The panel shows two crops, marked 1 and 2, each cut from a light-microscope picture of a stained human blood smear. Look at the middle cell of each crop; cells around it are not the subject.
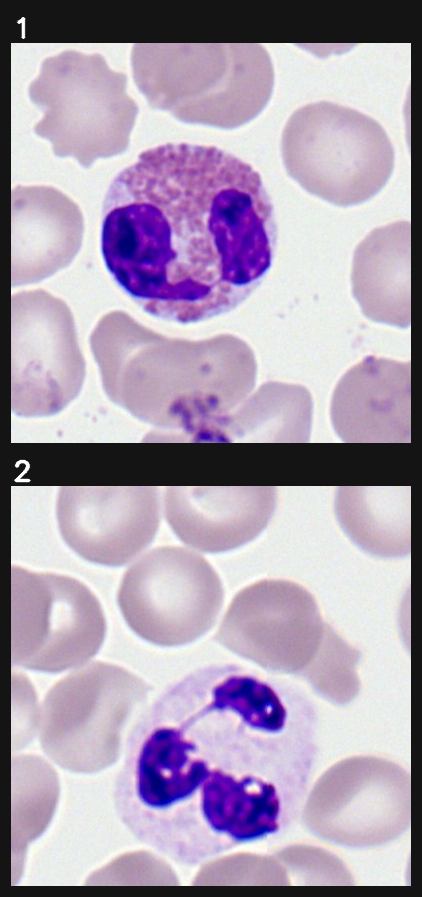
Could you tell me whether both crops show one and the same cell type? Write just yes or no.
no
